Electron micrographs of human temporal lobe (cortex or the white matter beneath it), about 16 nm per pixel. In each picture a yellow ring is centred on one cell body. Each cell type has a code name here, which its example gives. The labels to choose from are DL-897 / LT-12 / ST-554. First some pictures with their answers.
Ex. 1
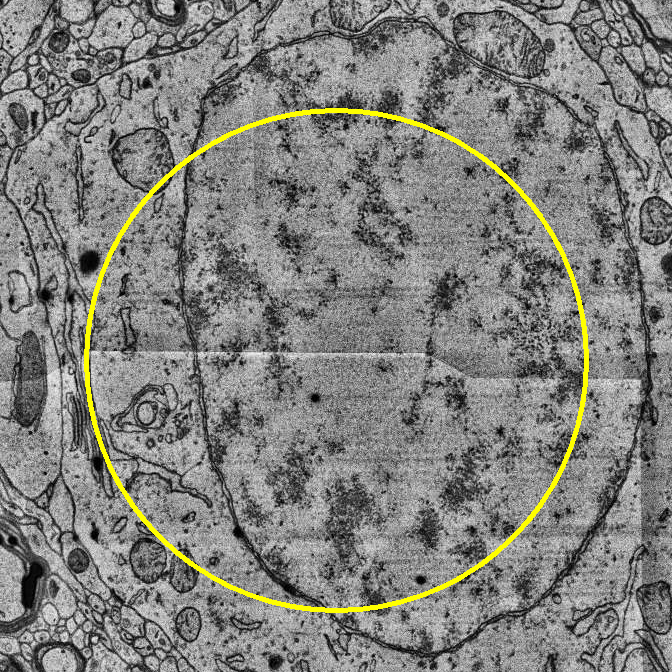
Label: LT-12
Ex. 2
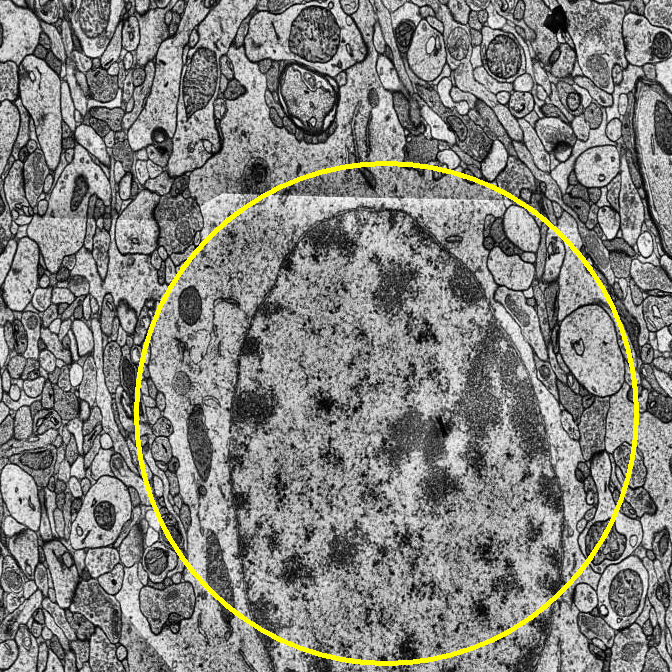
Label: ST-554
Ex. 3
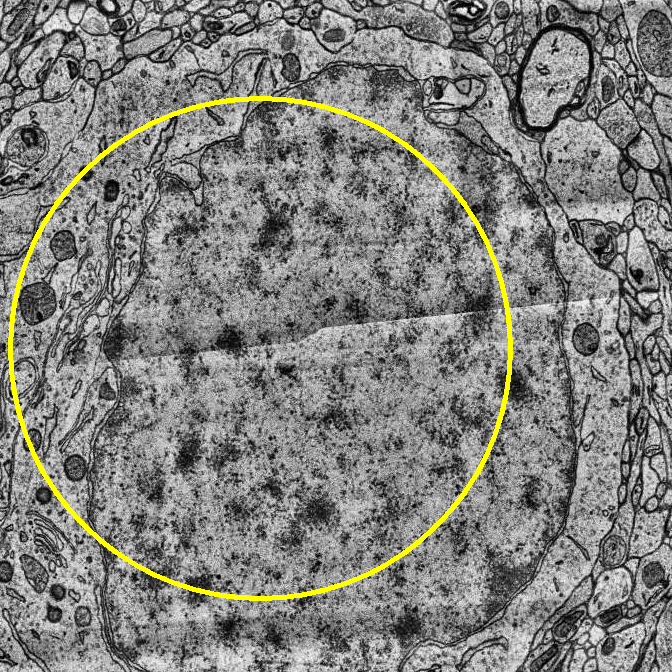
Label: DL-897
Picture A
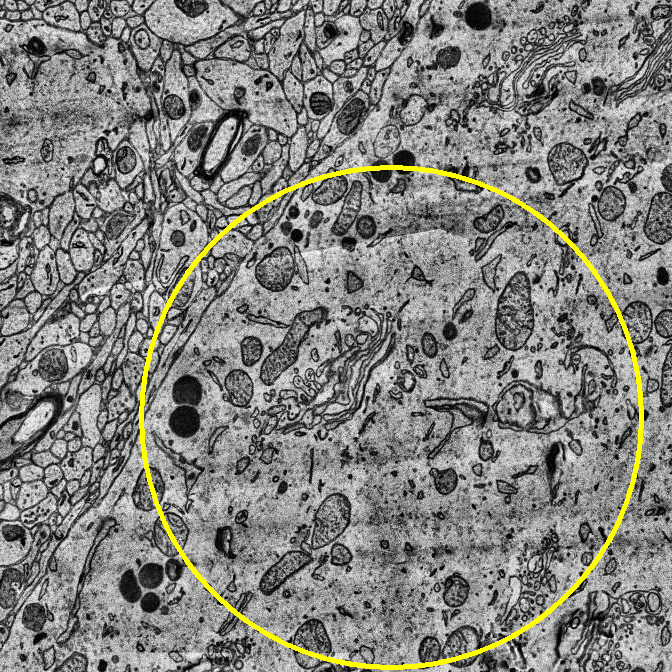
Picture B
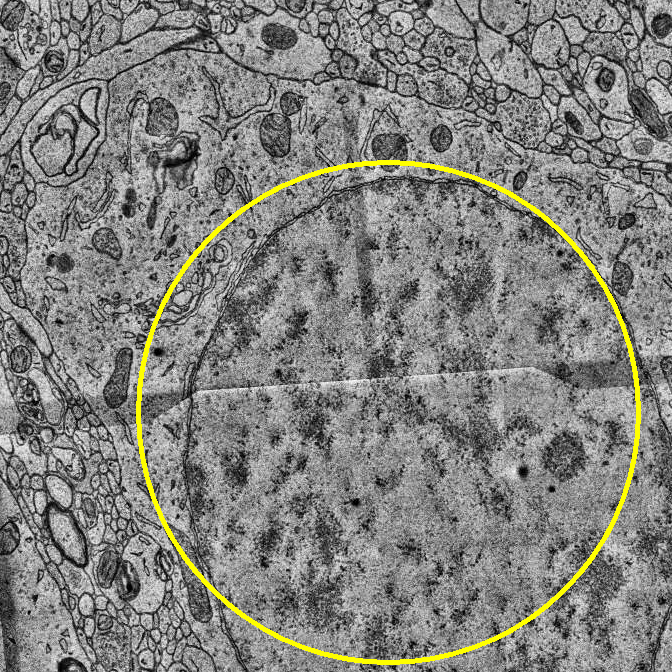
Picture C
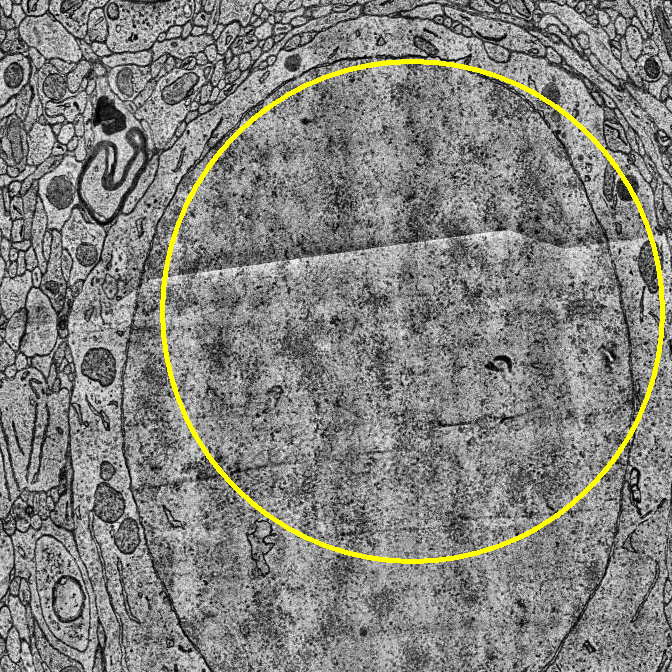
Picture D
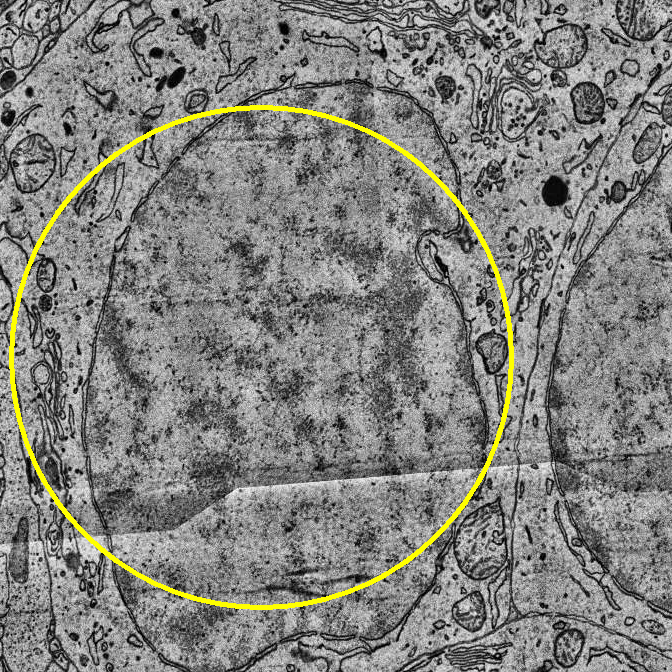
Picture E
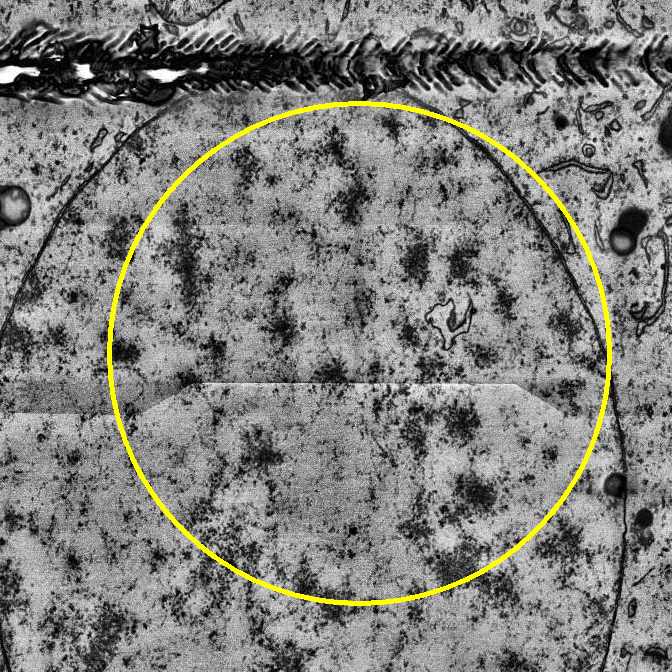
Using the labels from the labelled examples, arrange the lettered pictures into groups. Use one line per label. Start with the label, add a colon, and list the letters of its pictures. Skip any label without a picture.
DL-897: B
LT-12: A, C, D, E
